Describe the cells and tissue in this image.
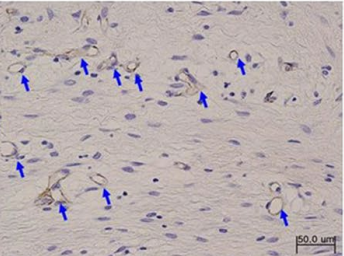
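This is a fibrous connective tissue in which many small blood vessels are lined by brown-stained endothelial cells. The stroma consists of elongated, spindle-shaped cells with slender blue nuclei set in a pale pink-beige matrix. Scattered through it are numerous small round or oval lumens, each rimmed by a thin layer of flattened brown-stained lining cells. Some vessels appear as solid brown cords or branching profiles without an obvious lumen.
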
